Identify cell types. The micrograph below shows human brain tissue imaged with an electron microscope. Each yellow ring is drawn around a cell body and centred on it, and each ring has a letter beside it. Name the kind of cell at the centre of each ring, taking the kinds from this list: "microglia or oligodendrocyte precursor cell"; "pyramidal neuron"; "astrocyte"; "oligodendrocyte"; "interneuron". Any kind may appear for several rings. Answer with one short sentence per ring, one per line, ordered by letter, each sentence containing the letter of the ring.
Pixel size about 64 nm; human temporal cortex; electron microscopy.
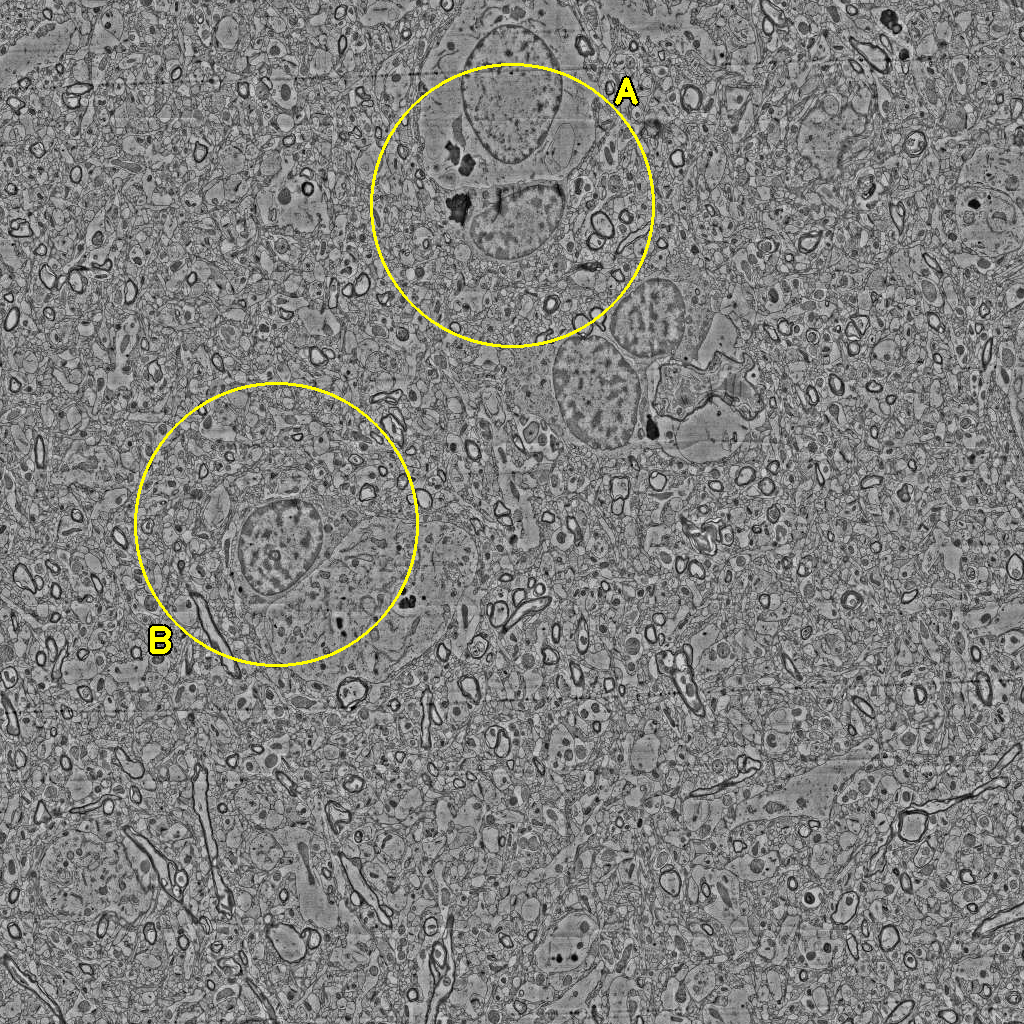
Ring A marks an oligodendrocyte.
Ring B marks an oligodendrocyte.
